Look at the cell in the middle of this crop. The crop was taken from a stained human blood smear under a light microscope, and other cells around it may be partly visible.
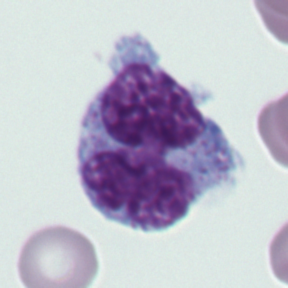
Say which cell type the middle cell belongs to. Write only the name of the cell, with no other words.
monocyte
